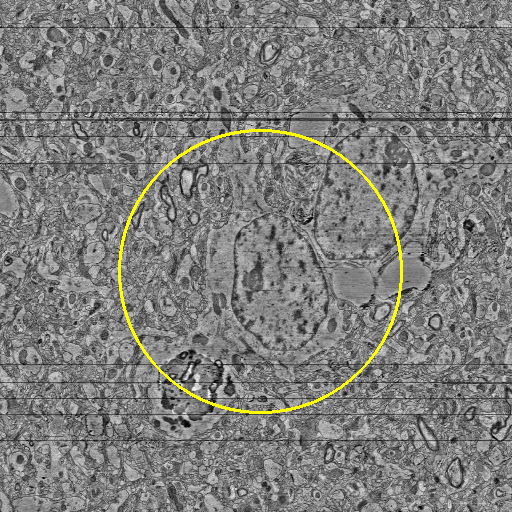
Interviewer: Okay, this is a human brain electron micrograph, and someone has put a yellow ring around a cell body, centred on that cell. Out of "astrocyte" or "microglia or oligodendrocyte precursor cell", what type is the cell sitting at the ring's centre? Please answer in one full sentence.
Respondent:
The cell at the centre of the yellow ring in this picture is an astrocyte.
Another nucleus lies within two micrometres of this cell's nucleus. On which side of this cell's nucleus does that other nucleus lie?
The other one is to the upper right of it.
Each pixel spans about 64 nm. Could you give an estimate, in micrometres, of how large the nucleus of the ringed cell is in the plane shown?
Approximately 9 micrometres long and 6 micrometres wide, in this plane.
